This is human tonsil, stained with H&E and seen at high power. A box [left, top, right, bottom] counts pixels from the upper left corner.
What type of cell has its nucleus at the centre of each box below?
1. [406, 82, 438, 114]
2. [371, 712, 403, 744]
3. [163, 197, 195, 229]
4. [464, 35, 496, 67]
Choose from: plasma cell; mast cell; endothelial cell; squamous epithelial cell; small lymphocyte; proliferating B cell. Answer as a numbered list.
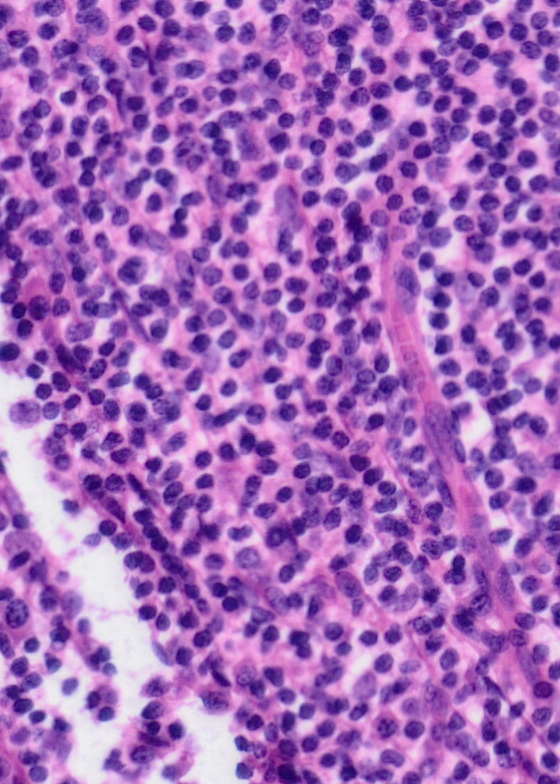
1. small lymphocyte
2. plasma cell
3. small lymphocyte
4. small lymphocyte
